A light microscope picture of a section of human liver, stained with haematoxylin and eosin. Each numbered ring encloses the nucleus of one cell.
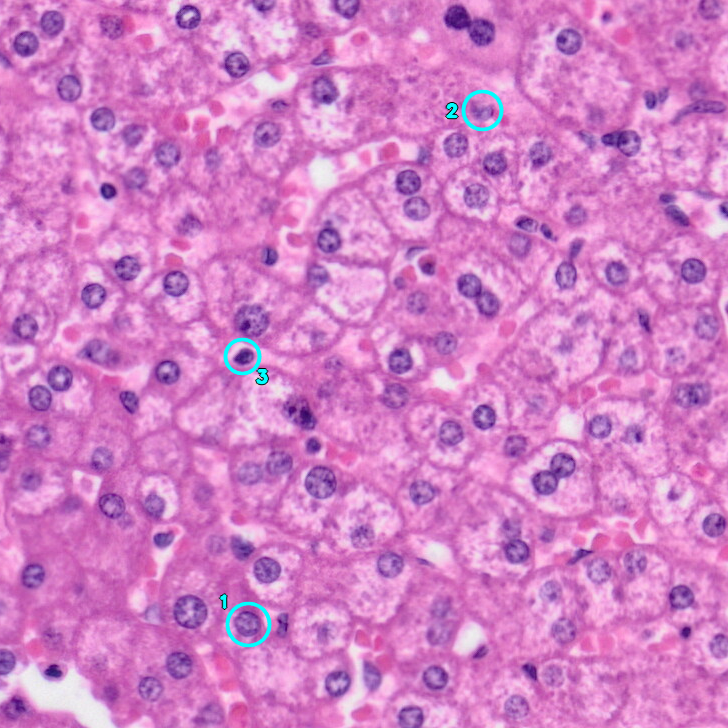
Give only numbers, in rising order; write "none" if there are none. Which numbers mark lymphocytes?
3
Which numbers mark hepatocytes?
1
